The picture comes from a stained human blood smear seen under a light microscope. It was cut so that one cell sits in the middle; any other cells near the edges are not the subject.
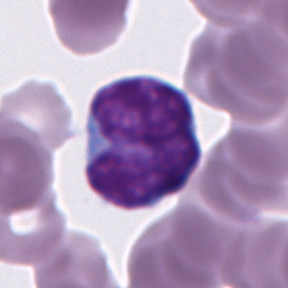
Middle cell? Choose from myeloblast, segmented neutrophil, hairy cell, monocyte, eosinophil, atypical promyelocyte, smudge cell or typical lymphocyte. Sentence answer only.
On this slide crop, the central cell is a typical lymphocyte.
